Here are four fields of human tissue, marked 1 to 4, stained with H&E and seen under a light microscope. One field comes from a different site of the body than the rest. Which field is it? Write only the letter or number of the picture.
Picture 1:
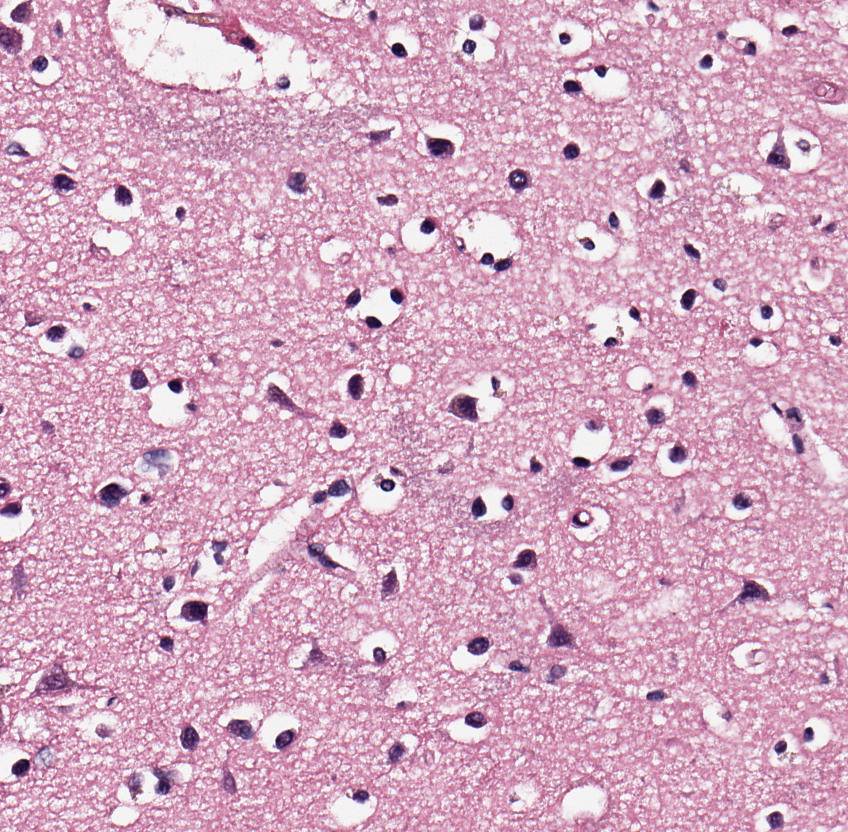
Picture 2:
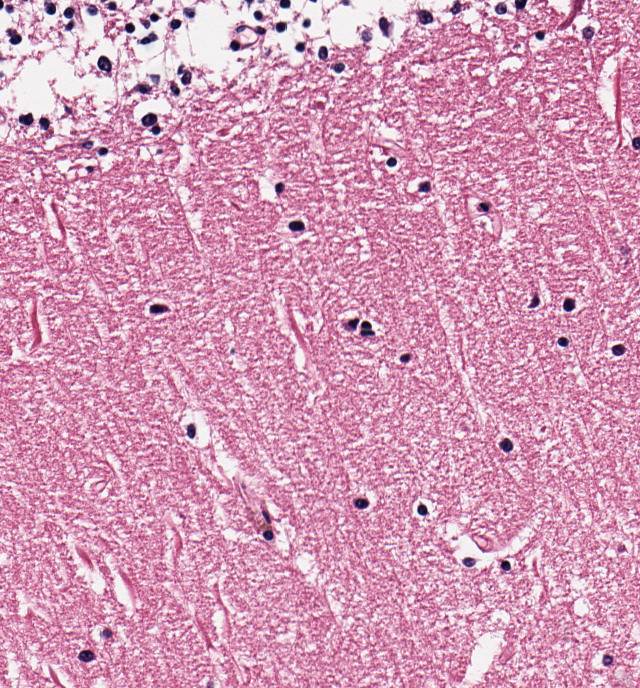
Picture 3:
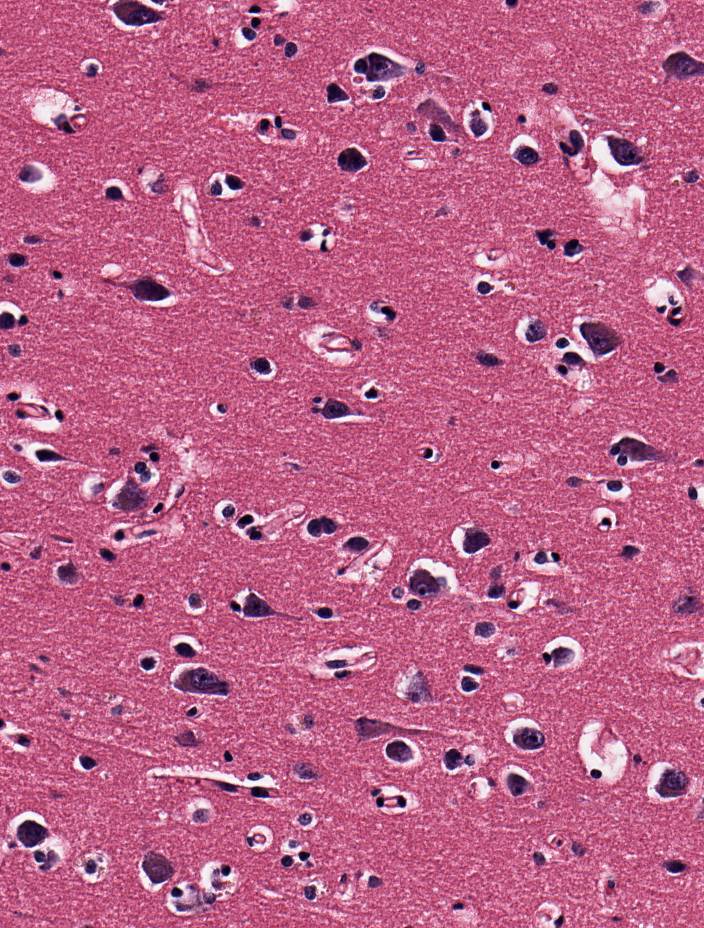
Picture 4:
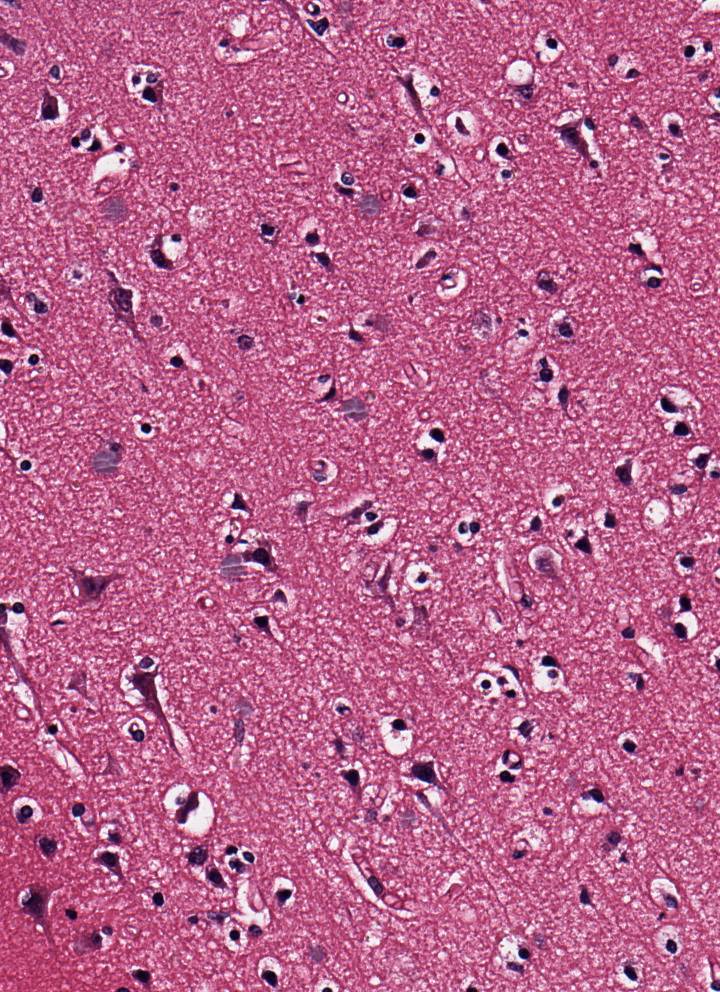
2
